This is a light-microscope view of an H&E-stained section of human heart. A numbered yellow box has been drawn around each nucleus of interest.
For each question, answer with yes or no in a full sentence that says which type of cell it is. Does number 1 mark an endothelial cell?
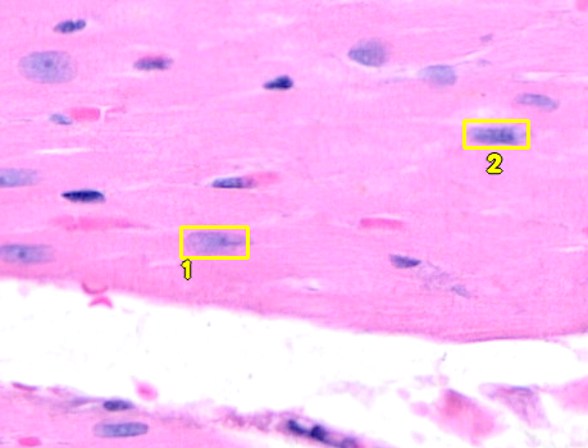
No, the cell carrying number 1 is a cardiomyocyte rather than an endothelial cell.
